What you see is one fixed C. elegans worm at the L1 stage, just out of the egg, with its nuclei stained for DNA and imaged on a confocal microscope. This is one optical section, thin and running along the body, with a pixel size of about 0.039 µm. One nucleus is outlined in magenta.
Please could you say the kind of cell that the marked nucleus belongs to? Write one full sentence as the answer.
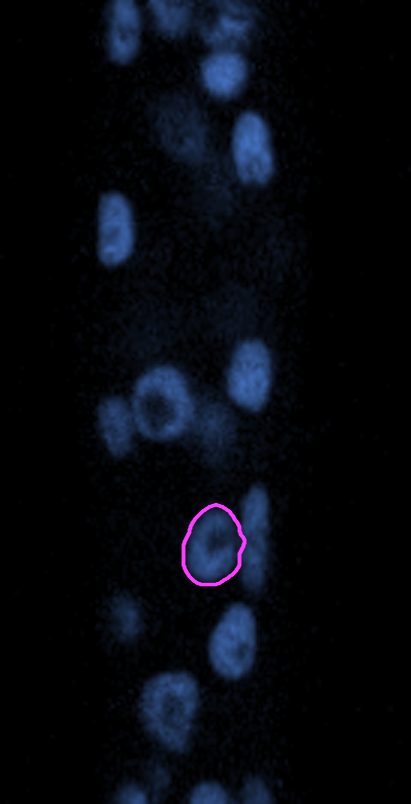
The marked nucleus is that of a seam cell.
